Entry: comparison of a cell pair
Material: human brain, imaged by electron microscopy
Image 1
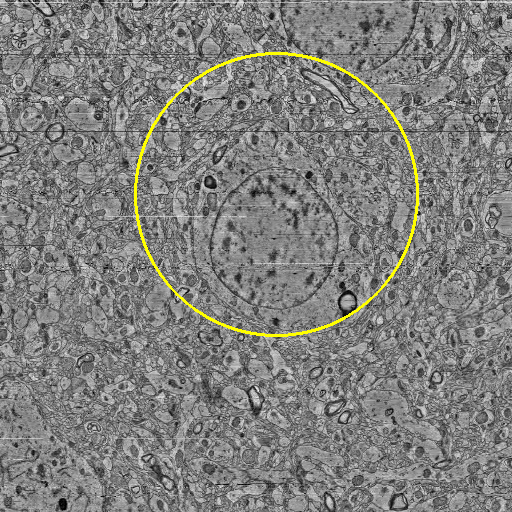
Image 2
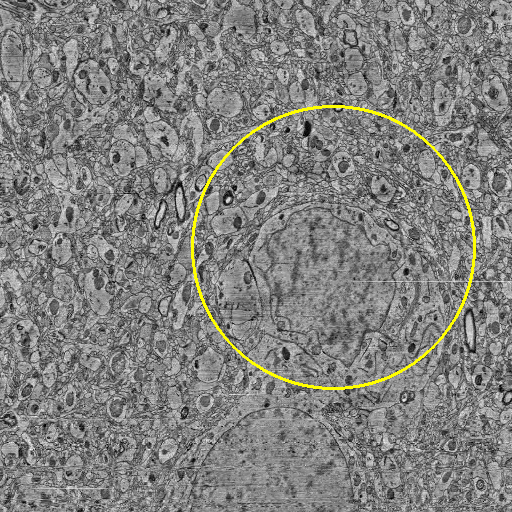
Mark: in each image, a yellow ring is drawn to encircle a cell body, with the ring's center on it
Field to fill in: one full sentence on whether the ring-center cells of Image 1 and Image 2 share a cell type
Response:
No, Image 1 and Image 2 show ring-center cells of two separate types.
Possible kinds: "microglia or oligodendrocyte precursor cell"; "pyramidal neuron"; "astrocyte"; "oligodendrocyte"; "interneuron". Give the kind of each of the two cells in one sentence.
The cell in the second picture is an interneuron, and that in the first is a pyramidal neuron.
